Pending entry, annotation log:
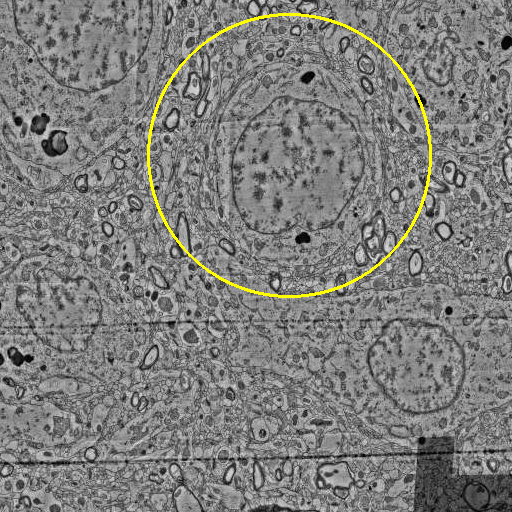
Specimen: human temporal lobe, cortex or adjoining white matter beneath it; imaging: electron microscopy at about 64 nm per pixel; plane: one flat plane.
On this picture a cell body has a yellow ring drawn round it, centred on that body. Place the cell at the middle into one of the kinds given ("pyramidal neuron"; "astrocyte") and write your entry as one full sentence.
The cell body at the middle of the yellow ring belongs to a pyramidal neuron.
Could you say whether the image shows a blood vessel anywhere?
No, the image shows no blood vessel.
